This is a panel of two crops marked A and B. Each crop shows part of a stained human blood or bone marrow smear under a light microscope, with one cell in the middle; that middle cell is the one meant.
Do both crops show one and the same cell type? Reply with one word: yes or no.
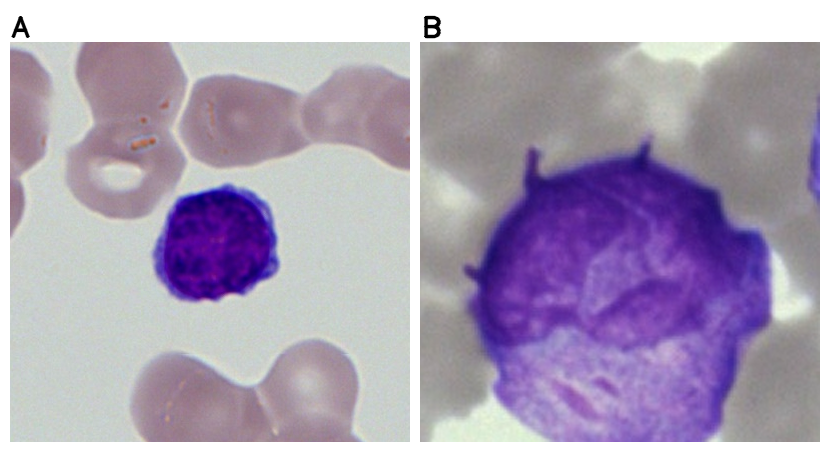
no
